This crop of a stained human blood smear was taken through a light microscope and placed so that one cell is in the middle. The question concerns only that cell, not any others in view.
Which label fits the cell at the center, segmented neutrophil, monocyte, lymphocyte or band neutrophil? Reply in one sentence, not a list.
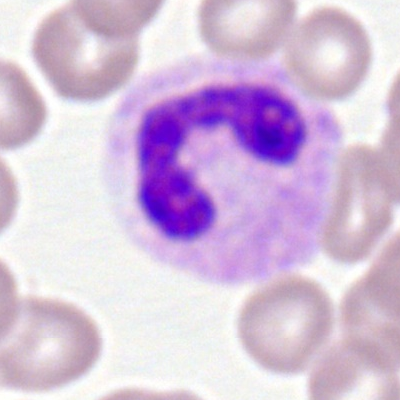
In the middle of this smear crop is a band neutrophil.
